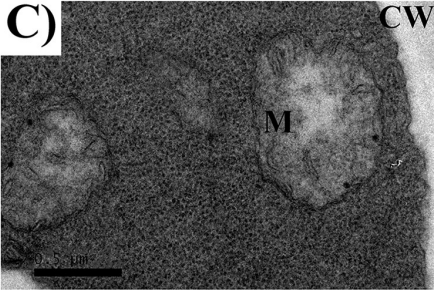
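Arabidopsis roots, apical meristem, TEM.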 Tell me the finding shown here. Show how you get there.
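The mitochondrion on the right has a pale, electron-lucent interior. Its matrix is much lighter than the surrounding dense cytoplasm.
Translucent stroma.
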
